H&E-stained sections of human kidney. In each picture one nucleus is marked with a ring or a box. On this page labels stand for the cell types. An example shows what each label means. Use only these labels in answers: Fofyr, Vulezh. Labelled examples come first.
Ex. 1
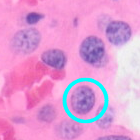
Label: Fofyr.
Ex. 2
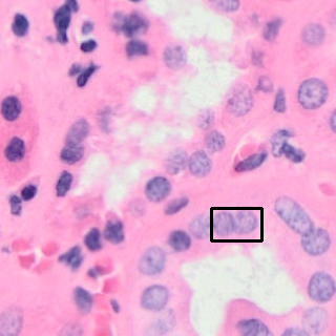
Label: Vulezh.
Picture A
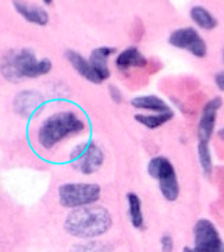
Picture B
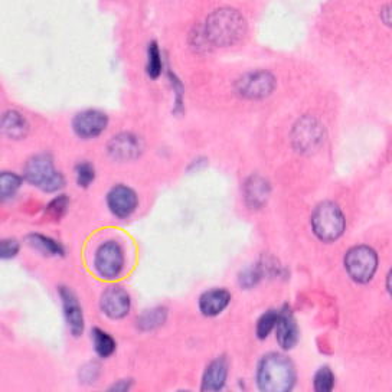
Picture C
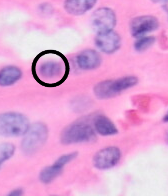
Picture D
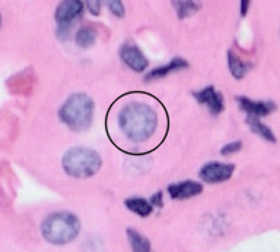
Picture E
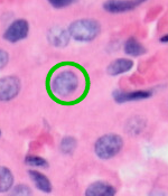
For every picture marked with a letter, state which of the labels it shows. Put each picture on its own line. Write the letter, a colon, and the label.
A: Vulezh.
B: Fofyr.
C: Fofyr.
D: Fofyr.
E: Fofyr.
